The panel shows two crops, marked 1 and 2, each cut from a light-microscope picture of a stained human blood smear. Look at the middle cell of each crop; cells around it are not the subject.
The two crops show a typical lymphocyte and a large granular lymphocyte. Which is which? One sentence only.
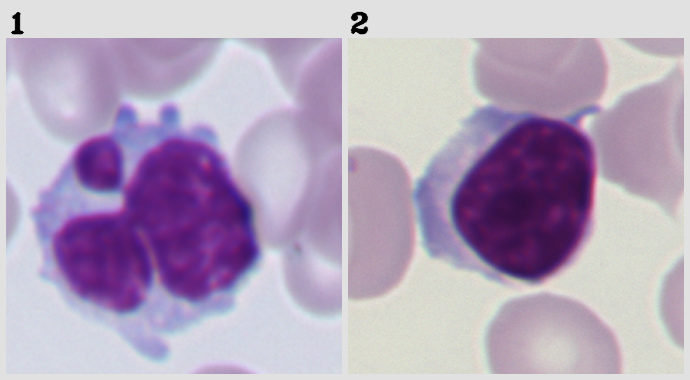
The cell centred in crop 1 is a large granular lymphocyte, while the one centred in crop 2 is a typical lymphocyte.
